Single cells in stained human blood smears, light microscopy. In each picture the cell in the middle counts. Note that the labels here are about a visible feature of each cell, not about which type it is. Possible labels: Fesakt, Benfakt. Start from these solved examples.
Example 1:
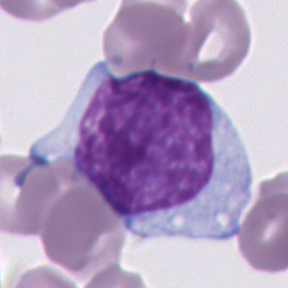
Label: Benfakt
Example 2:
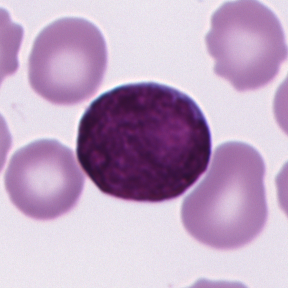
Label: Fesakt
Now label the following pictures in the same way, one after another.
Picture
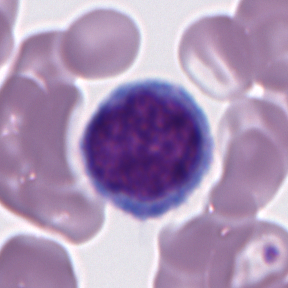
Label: Fesakt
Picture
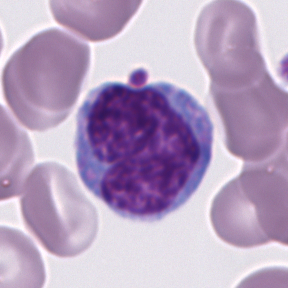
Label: Fesakt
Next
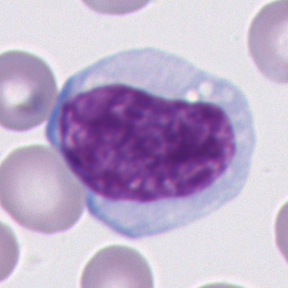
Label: Benfakt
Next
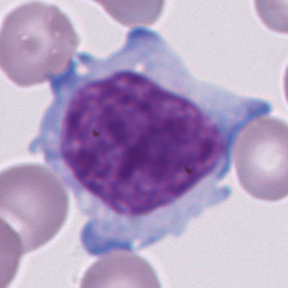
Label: Benfakt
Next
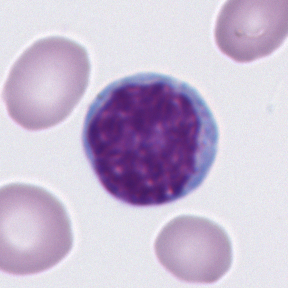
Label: Fesakt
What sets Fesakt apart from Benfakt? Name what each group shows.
Fesakt, no vacuoles; Benfakt, vacuoles present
